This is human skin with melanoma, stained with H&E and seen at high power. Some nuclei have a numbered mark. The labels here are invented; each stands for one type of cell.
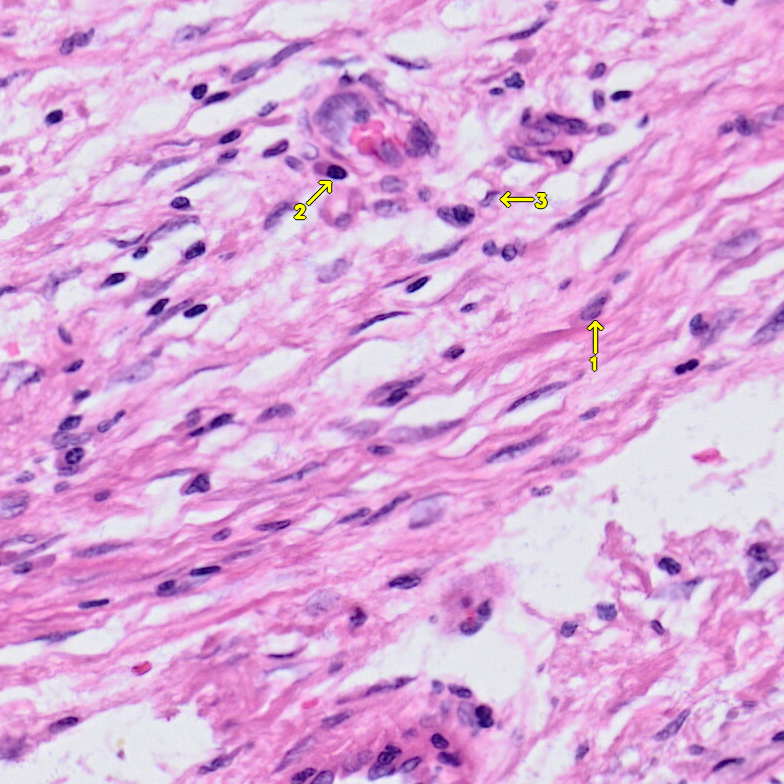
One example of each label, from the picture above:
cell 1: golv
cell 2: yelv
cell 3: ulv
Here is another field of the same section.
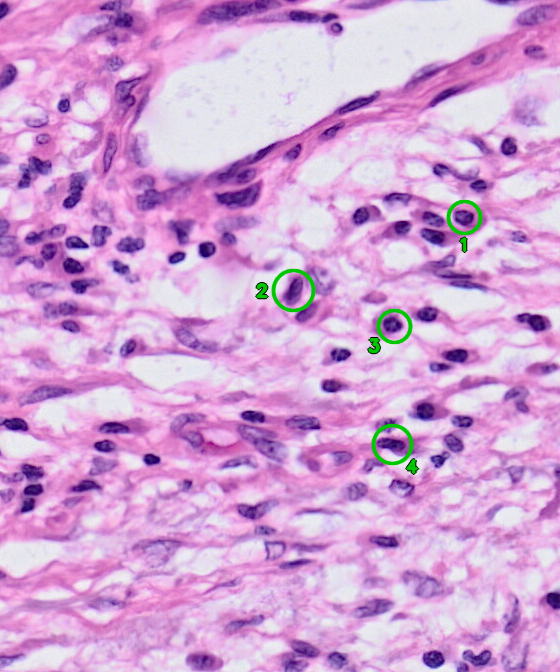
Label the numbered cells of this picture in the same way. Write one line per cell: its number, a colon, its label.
1: yelv
2: golv
3: yelv
4: yelv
